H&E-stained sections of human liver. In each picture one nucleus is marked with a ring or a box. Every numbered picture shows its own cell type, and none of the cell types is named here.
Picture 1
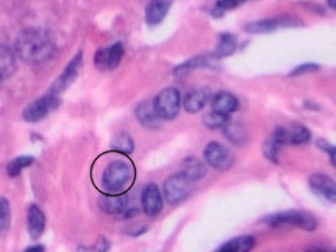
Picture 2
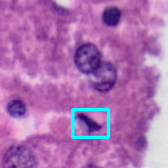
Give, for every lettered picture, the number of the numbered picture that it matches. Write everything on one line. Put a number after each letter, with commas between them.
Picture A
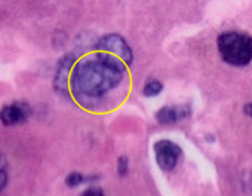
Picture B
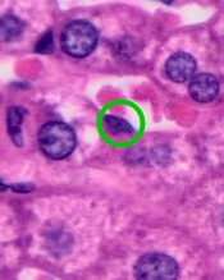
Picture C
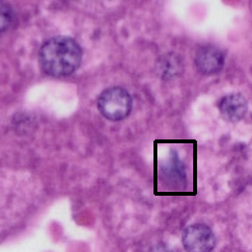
A 1, B 2, C 2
